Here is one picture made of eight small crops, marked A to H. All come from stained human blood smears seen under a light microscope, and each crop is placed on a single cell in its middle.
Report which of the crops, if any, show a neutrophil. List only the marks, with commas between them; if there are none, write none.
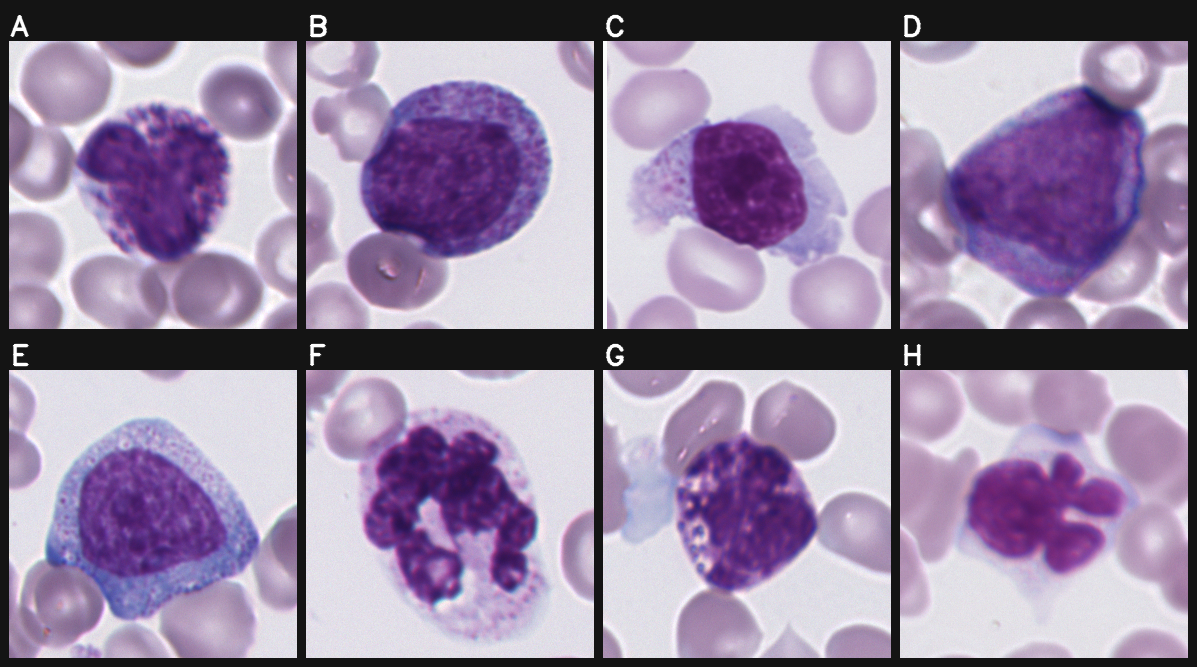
F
